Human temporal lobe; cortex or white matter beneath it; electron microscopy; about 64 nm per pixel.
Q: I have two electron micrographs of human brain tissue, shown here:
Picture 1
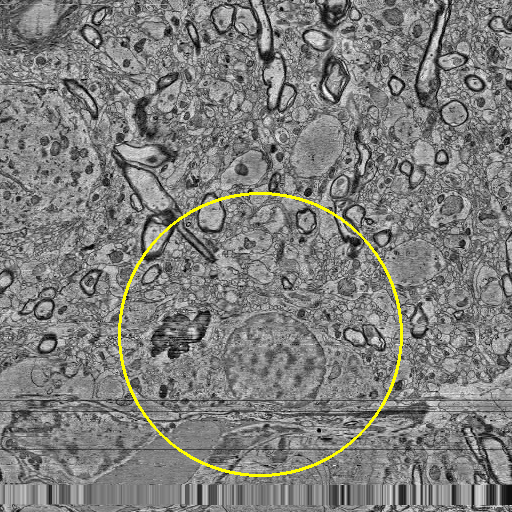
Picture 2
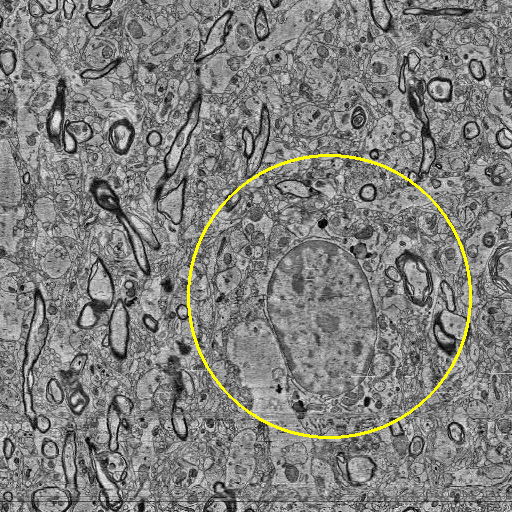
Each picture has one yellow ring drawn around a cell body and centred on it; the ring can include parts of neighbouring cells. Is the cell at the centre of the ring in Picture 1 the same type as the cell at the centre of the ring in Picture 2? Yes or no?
no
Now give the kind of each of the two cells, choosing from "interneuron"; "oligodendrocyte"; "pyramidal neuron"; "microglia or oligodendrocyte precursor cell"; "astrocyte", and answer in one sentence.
The cell in the first picture is an oligodendrocyte, and the cell in the second is a microglial cell or oligodendrocyte precursor cell.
